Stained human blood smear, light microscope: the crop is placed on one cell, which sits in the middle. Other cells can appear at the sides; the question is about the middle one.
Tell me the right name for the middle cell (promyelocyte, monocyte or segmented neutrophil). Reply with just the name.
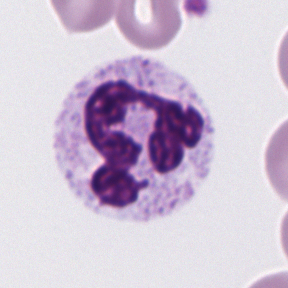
segmented neutrophil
